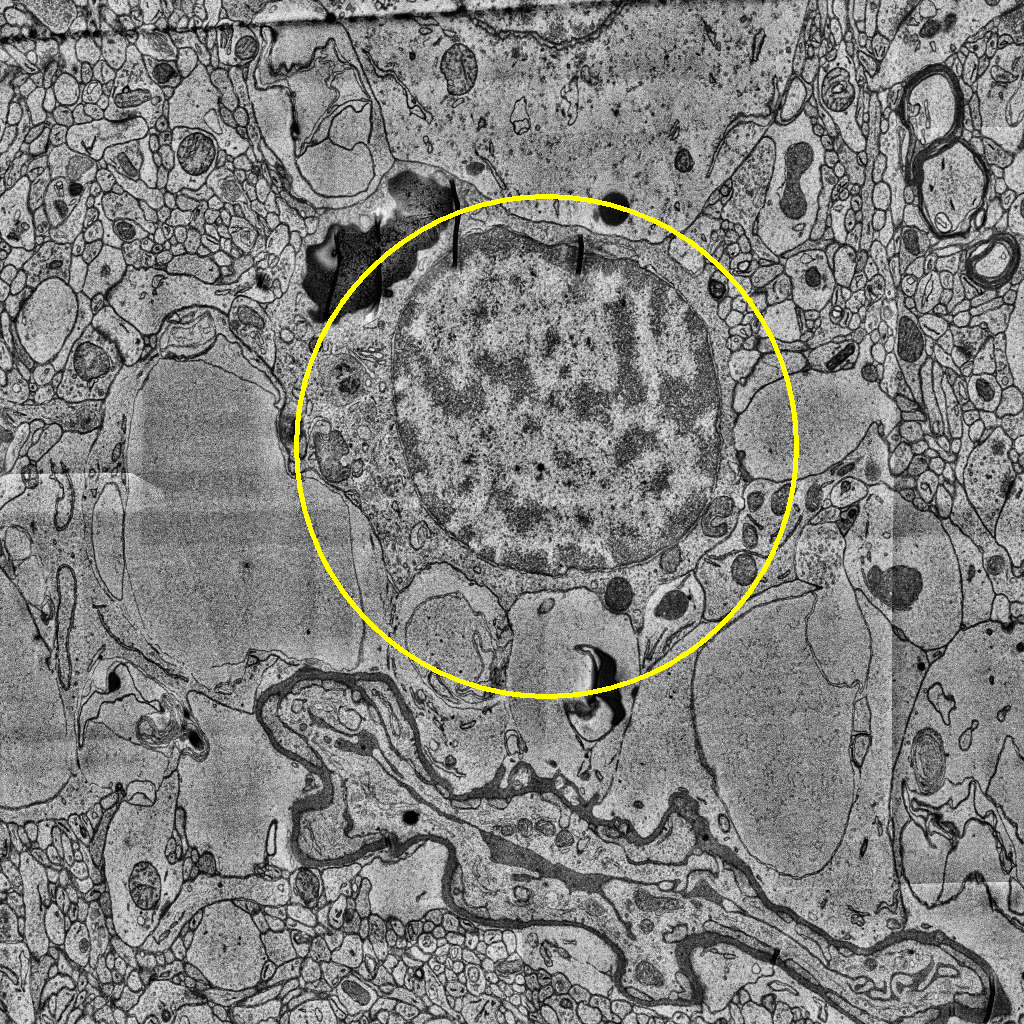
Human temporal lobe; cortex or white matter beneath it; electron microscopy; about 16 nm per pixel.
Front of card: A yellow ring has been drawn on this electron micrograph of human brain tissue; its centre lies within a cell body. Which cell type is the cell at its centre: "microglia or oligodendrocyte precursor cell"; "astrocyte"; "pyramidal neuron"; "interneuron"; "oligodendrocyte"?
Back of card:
oligodendrocyte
